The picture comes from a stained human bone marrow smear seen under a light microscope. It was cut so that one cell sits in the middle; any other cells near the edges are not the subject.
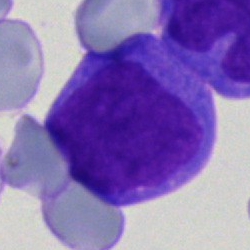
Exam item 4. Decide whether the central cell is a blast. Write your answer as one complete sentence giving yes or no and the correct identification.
Yes, the cell in the middle is recognised as a blast.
